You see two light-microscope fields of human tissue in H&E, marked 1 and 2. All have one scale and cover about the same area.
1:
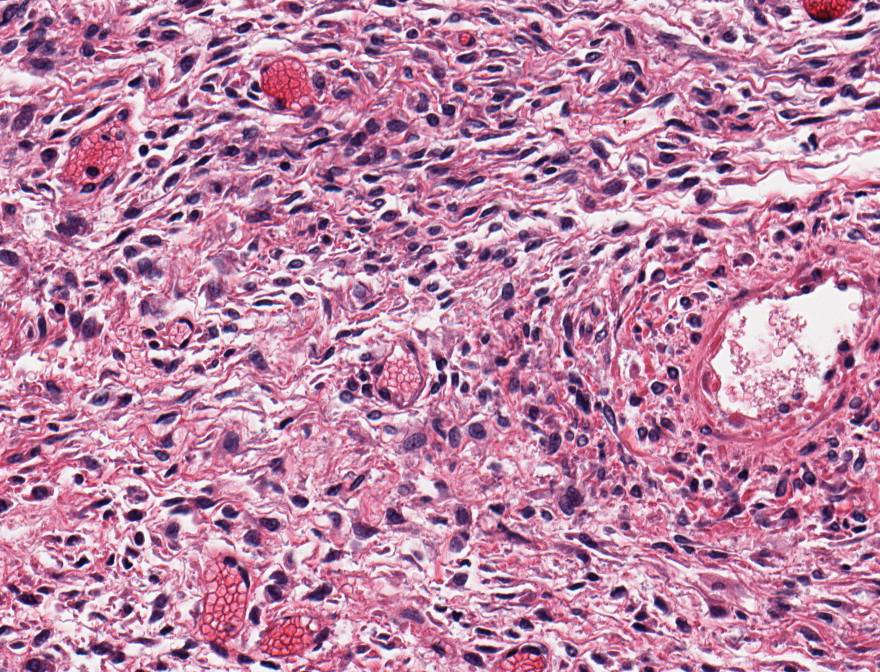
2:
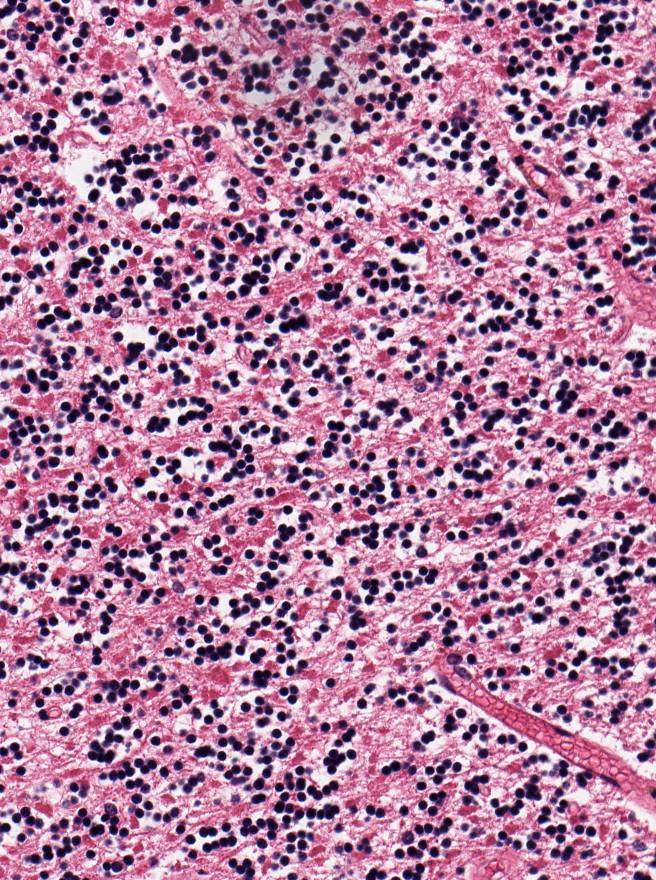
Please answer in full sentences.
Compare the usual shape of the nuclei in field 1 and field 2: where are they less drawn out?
Rounder nuclei lie in field 2.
